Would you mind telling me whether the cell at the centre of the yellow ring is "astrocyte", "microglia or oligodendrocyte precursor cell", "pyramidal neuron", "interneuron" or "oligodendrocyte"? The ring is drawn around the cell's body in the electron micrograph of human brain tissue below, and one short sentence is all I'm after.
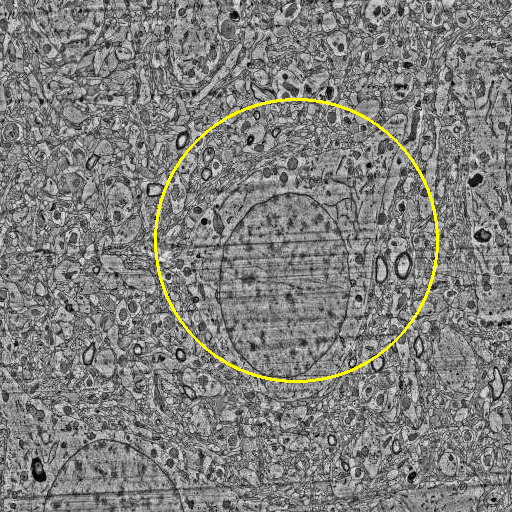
In the centre of the ring lies a pyramidal neuron.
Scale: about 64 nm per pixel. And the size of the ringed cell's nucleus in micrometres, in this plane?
The nucleus measures about 12 by 9 micrometres in this plane.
